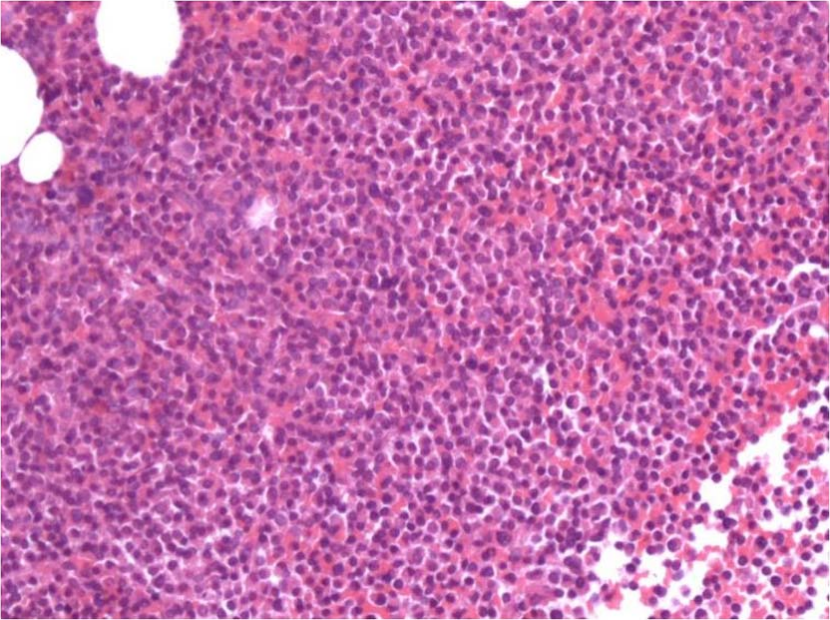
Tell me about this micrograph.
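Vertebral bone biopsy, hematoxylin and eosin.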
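The field is almost entirely filled by a monotonous population of round to oval cells. Each has a round, dark purple nucleus, often placed off-centre, and a moderate rim of pink-purple cytoplasm. The cells lie closely crowded together, with little stroma and only scattered red blood cells in between. The normal mixture of marrow cells and fat is largely lost. A few empty fat spaces remain at the upper left, and a loose, bloody area lies at the lower right edge.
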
